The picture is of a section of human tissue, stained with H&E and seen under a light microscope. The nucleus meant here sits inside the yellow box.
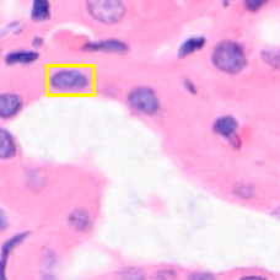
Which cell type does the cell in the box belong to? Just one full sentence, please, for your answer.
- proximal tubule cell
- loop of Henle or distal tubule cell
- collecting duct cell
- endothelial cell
Recorded by type, the cell in the box is a loop of Henle or distal tubule cell.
